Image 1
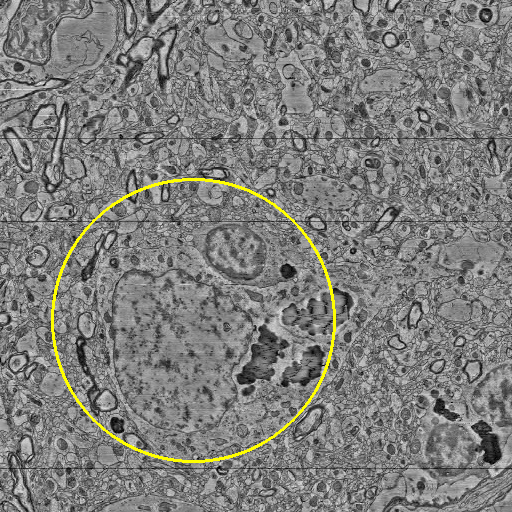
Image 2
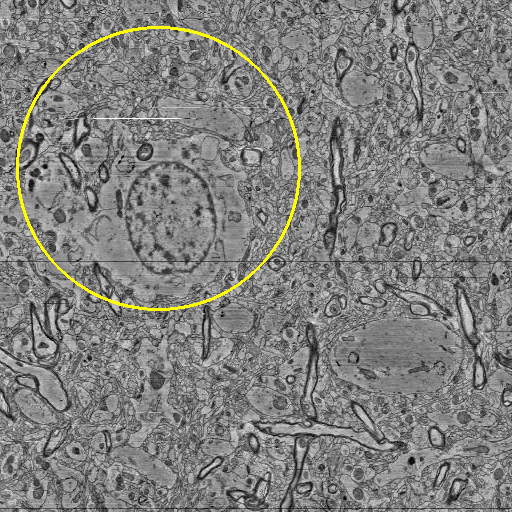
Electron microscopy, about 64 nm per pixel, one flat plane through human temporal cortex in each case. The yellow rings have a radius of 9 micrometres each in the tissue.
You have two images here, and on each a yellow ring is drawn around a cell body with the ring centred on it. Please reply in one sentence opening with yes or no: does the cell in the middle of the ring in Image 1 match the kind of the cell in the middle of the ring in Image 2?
No, the two images show cells of two kinds at the centres of their rings.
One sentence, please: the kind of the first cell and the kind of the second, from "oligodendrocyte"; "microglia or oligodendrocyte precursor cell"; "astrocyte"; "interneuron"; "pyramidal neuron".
The ring in the first picture surrounds an interneuron, and the ring in the second surrounds an astrocyte.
